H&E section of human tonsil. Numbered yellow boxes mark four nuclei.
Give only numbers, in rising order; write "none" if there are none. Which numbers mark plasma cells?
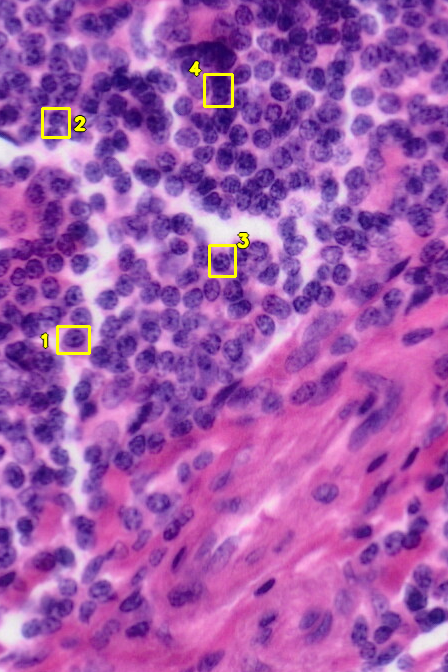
1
